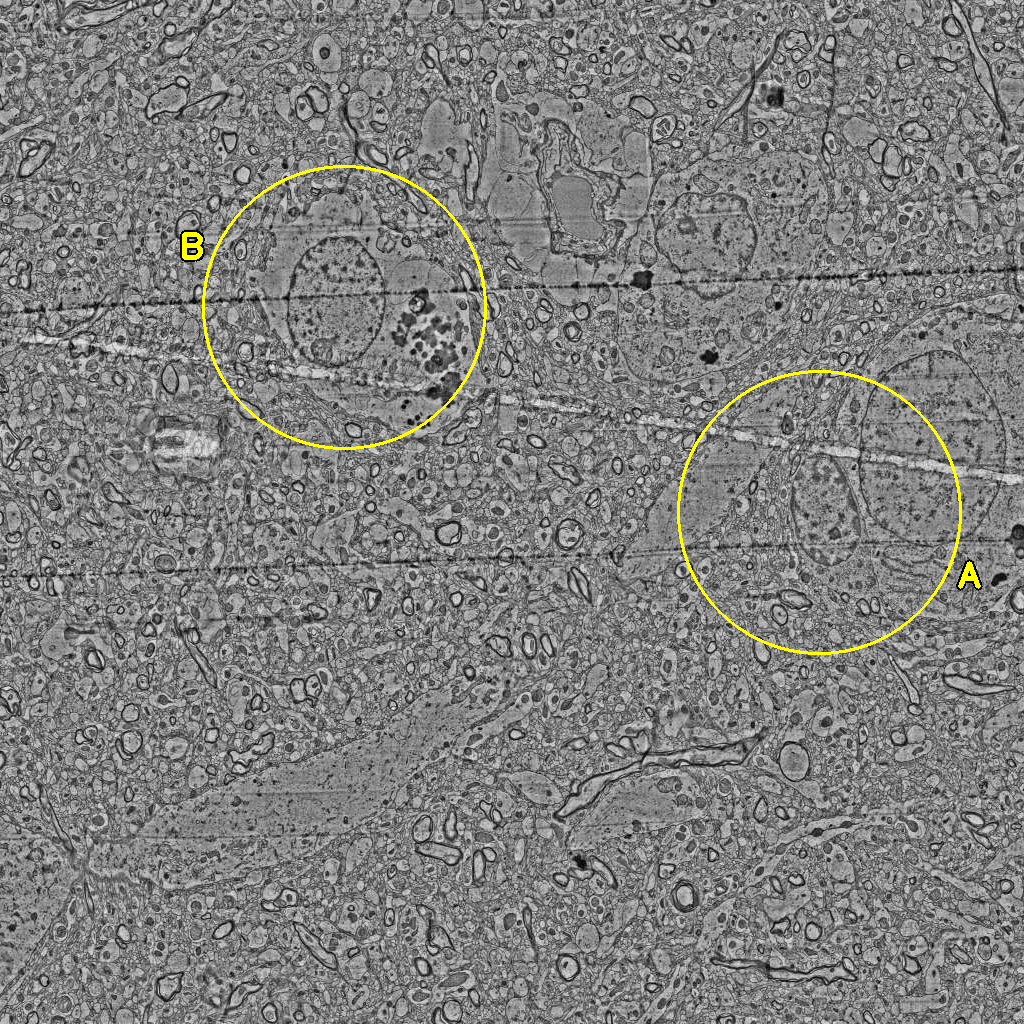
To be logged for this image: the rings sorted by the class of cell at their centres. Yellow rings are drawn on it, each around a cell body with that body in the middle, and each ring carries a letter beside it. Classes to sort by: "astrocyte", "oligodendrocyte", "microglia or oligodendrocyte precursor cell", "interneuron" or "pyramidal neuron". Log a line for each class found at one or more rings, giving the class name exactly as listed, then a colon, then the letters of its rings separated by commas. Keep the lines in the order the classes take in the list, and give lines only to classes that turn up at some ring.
astrocyte: B
oligodendrocyte: A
